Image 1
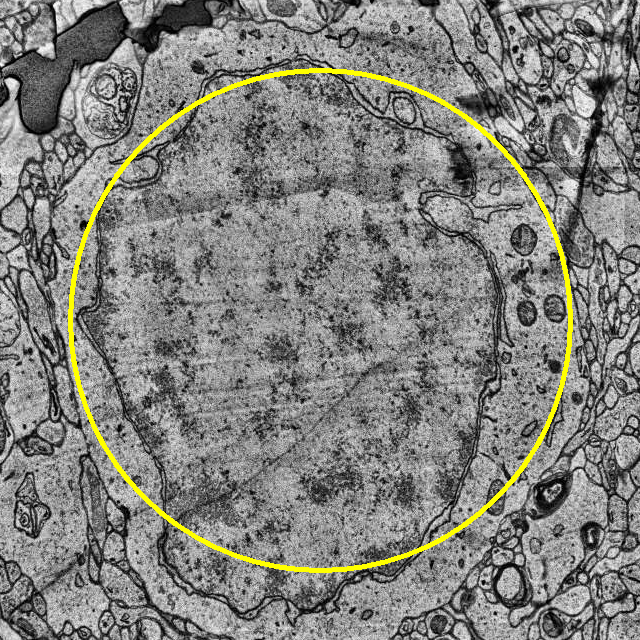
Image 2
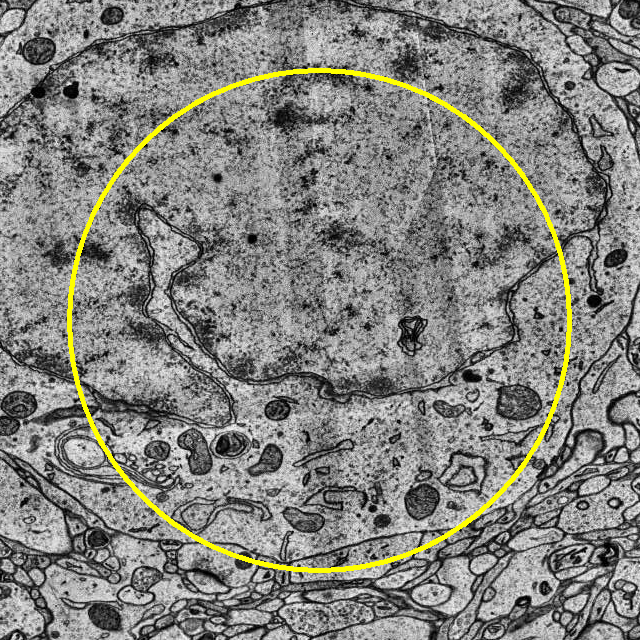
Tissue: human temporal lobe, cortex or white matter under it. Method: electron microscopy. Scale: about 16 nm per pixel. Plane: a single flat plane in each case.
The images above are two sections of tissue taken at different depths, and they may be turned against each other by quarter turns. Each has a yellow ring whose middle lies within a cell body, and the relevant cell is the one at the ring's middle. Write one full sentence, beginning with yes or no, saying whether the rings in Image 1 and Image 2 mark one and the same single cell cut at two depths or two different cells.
Yes, both rings are placed on a single cell.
